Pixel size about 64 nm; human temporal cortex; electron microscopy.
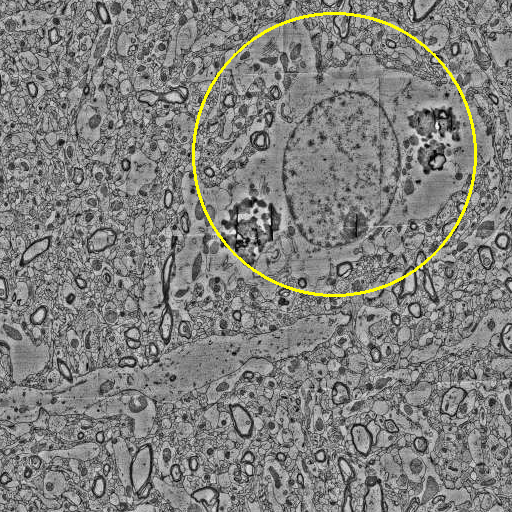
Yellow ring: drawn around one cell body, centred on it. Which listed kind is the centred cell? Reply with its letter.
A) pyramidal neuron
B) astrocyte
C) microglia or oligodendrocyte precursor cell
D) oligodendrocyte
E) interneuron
B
